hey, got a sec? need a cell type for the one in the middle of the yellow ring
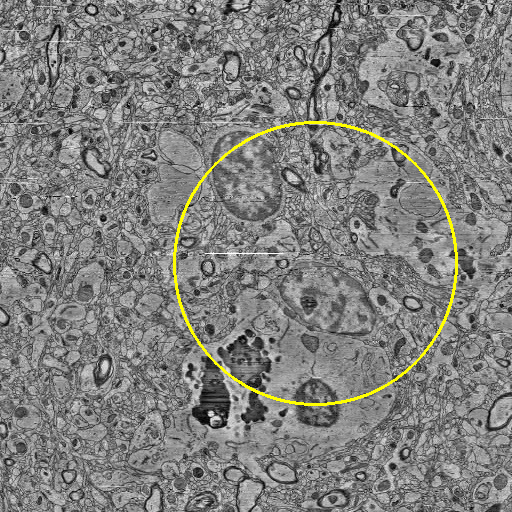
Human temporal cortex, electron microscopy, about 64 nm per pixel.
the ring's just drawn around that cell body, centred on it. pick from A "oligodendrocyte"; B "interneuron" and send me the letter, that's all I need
A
